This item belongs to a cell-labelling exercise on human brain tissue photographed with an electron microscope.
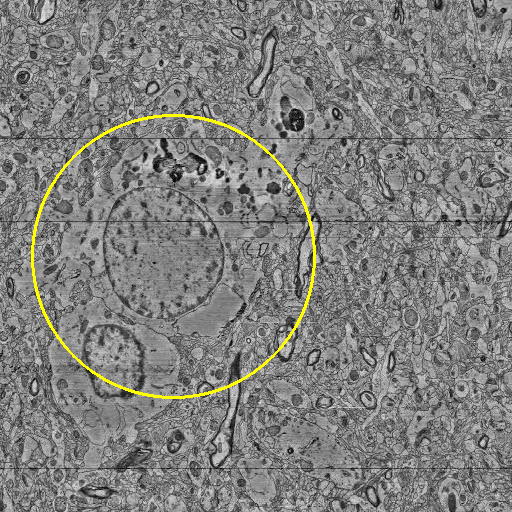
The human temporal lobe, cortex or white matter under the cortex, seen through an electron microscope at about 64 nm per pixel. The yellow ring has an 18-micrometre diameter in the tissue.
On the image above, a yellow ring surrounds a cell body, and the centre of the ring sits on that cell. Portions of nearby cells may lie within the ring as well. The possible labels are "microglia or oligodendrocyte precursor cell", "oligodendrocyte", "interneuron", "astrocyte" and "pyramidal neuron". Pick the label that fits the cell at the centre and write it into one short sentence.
This cell should be labelled as an astrocyte.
